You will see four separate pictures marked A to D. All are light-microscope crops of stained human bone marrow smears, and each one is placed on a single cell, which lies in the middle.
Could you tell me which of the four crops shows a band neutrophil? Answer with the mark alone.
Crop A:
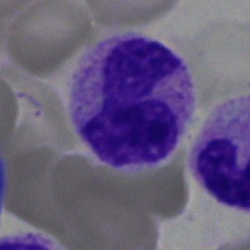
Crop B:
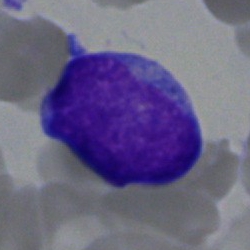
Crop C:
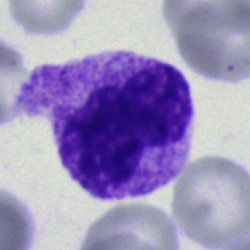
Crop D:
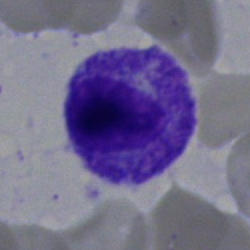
A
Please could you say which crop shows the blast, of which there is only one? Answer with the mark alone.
B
